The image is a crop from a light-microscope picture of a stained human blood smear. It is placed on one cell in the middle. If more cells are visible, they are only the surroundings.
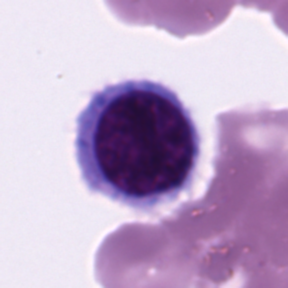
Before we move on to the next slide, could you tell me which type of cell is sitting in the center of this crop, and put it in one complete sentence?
Classification of the middle cell gives a hairy cell.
